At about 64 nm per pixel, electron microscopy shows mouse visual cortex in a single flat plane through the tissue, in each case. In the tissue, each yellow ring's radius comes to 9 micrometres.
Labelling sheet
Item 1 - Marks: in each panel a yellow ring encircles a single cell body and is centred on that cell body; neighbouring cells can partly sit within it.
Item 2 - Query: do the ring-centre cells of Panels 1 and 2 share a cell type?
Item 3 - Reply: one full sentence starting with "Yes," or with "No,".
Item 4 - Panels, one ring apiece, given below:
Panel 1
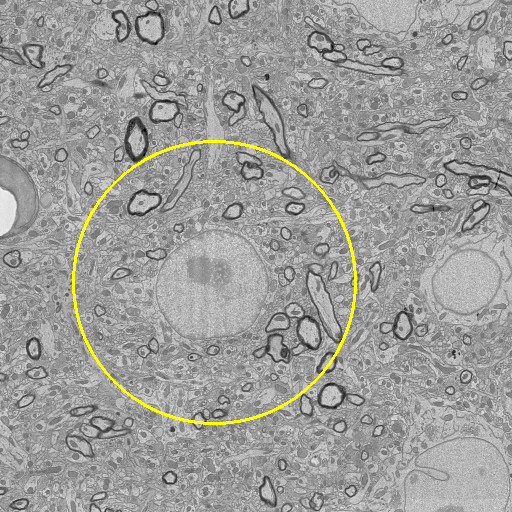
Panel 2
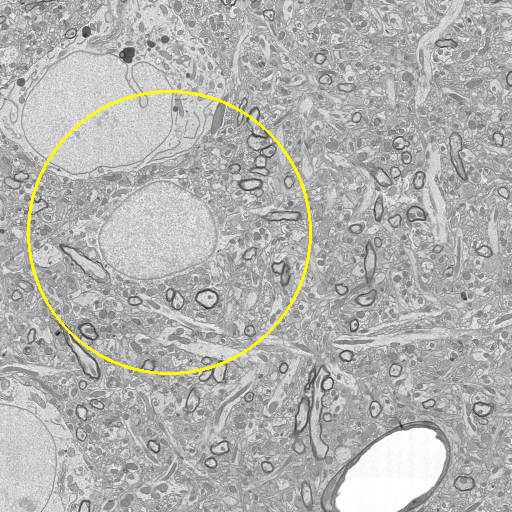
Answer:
Yes, Panel 1 and Panel 2 show one cell type at the centres of their rings.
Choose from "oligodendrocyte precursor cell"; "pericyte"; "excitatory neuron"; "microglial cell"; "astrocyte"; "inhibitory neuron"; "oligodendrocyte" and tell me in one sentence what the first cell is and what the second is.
Both rings mark an astrocyte, one in each picture.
